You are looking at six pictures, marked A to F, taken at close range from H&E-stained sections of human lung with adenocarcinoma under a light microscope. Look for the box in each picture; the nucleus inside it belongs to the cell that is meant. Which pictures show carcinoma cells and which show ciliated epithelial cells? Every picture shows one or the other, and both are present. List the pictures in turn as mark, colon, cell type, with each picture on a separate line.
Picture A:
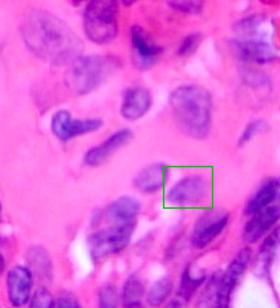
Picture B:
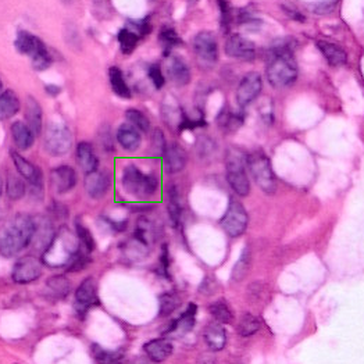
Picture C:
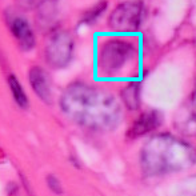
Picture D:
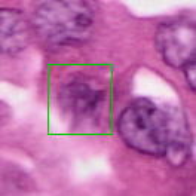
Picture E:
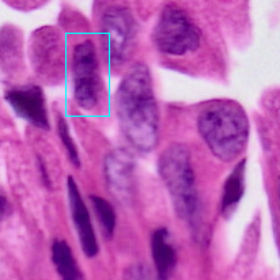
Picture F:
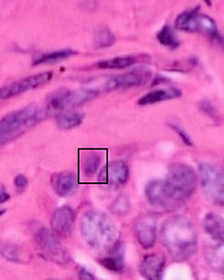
A: ciliated epithelial cell
B: ciliated epithelial cell
C: ciliated epithelial cell
D: carcinoma cell
E: carcinoma cell
F: ciliated epithelial cell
